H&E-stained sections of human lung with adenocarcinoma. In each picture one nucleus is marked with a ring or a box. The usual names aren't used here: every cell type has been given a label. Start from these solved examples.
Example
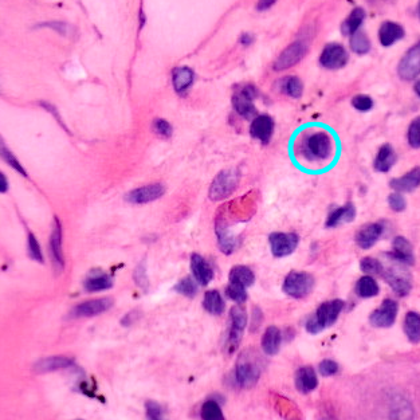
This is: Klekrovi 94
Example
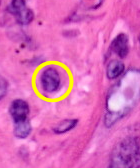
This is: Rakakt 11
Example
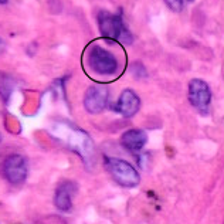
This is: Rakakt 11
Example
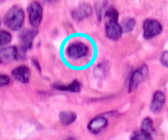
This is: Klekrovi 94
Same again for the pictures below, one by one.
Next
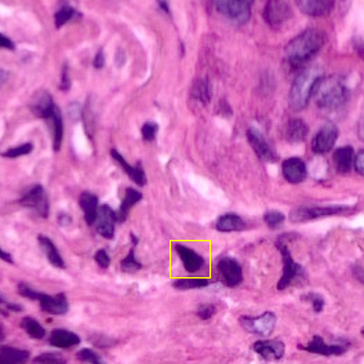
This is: Rakakt 11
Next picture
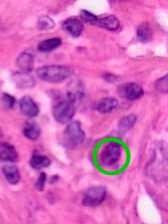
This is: Rakakt 11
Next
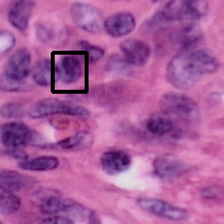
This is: Klekrovi 94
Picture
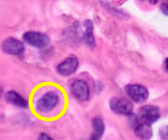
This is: Klekrovi 94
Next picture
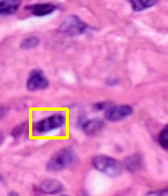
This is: Rakakt 11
